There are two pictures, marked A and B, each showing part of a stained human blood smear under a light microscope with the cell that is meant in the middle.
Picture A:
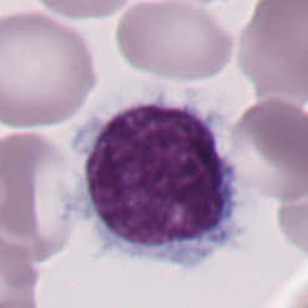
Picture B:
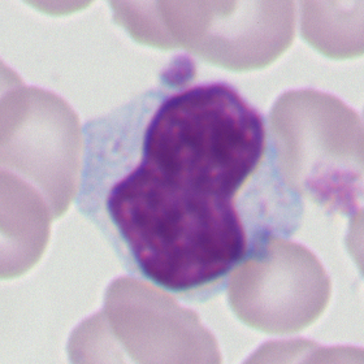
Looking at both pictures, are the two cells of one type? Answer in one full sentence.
No, the types are not the same, since picture A shows a hairy cell and picture B a large granular lymphocyte.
